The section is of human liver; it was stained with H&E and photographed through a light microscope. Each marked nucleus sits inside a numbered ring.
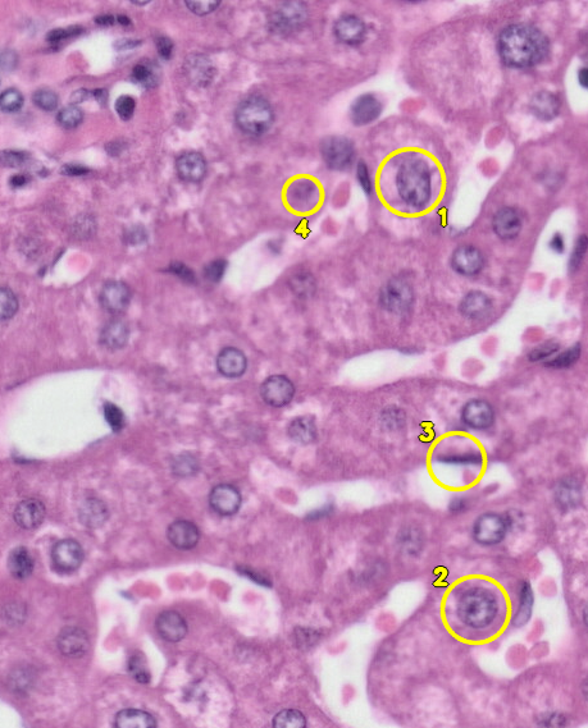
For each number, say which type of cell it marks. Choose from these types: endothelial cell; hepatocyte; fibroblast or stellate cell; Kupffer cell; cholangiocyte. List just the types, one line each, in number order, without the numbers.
hepatocyte
hepatocyte
endothelial cell
hepatocyte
